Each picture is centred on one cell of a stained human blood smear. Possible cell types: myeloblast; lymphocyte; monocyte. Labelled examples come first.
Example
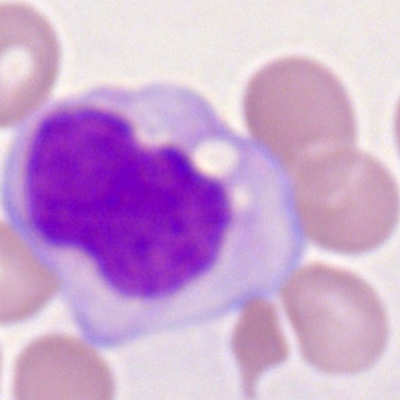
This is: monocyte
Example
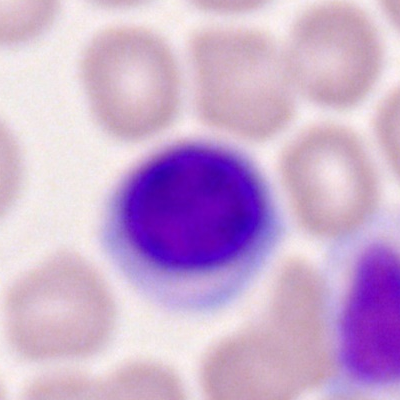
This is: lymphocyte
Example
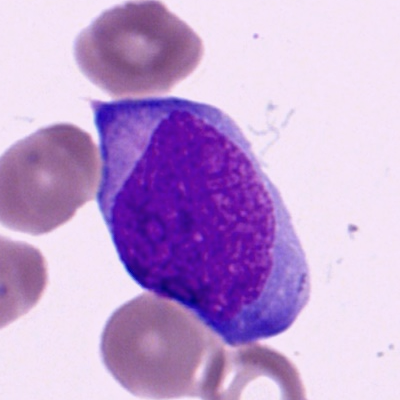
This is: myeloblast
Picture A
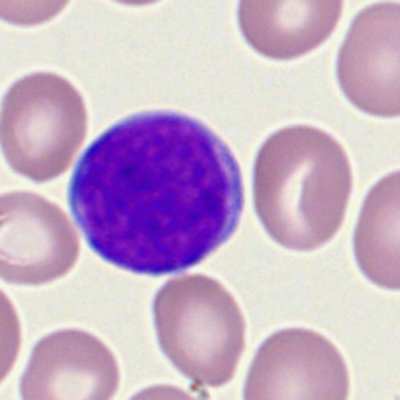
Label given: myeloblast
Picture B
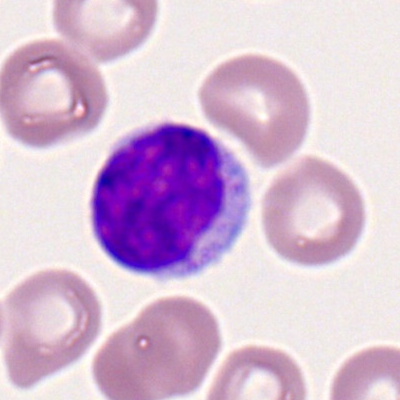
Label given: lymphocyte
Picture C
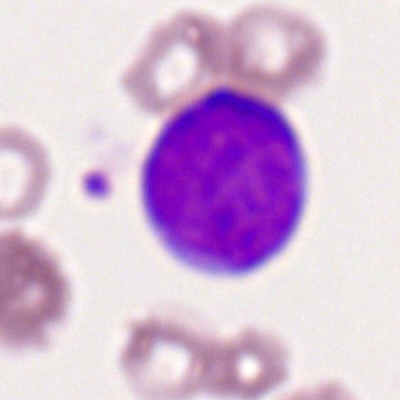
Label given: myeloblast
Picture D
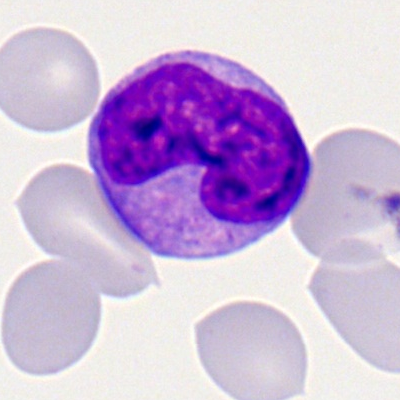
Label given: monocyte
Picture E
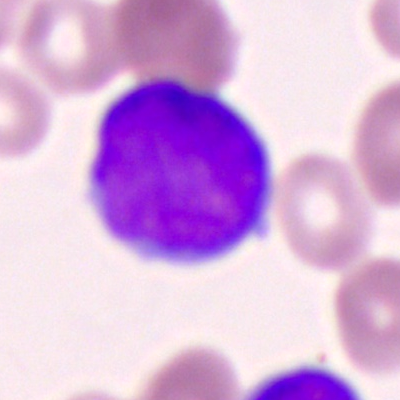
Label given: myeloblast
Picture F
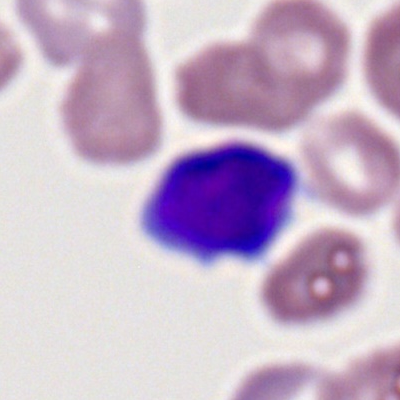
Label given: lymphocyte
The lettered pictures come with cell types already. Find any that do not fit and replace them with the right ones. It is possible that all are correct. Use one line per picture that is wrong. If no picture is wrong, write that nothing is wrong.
None of the labels needs changing.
